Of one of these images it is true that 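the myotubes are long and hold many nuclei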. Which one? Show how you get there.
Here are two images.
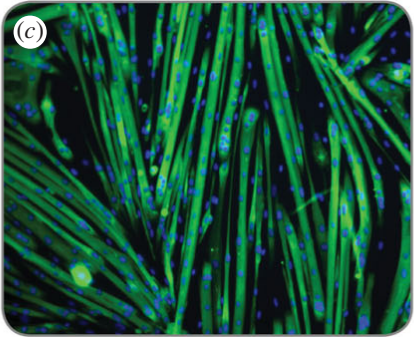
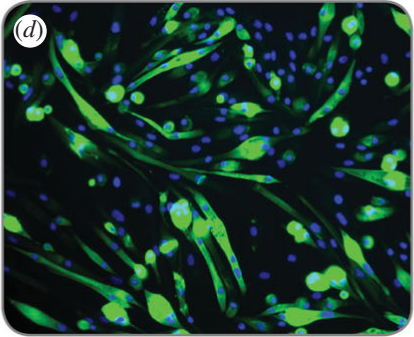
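Second image: short green spindle cells, many holding one or few nuclei, with many blue nuclei outside green cells. First image: long green fibres spanning the field with rows of many nuclei inside each. That points to this answer: the first image.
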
